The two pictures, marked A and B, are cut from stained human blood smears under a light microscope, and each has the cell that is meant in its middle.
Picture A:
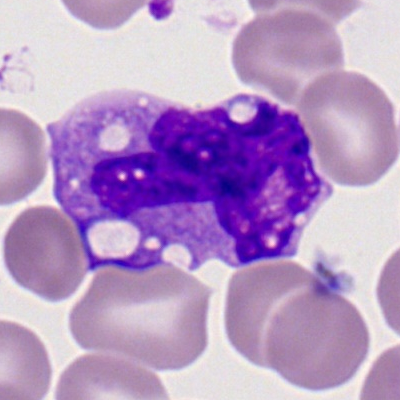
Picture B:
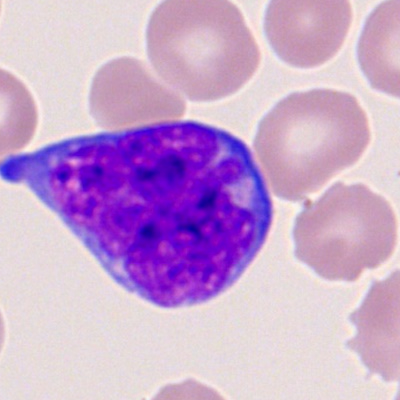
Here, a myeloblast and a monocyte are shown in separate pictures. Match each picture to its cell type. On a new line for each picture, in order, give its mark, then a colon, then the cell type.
A: monocyte
B: myeloblast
